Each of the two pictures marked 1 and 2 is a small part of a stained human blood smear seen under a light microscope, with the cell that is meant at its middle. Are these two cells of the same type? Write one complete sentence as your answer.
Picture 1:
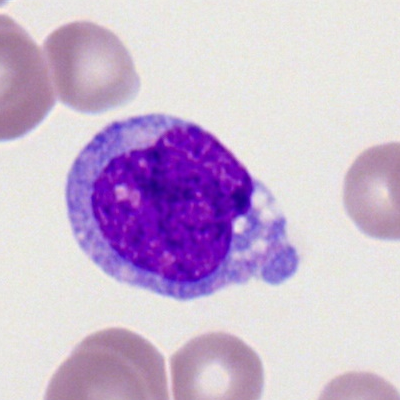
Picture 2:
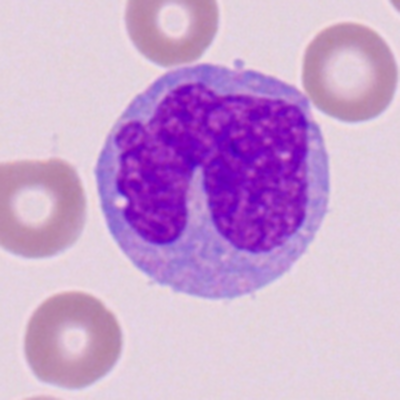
Yes, both cells are monocytes.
